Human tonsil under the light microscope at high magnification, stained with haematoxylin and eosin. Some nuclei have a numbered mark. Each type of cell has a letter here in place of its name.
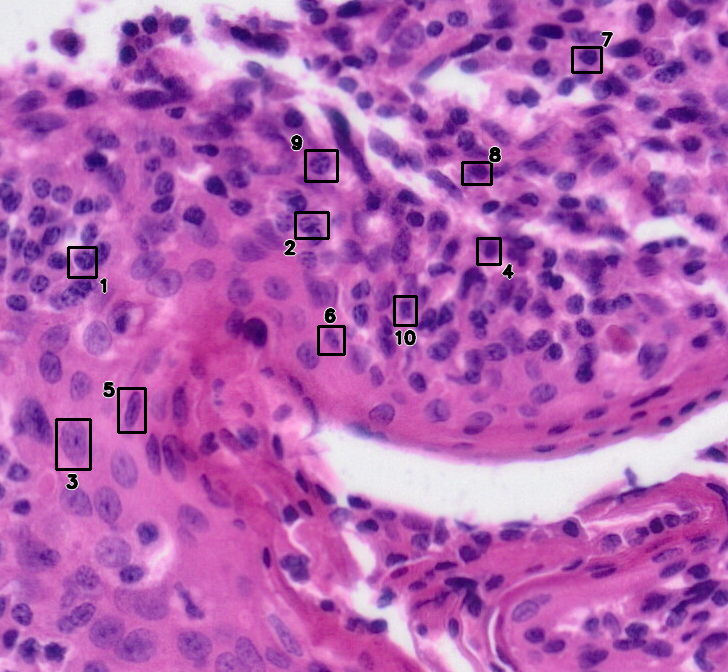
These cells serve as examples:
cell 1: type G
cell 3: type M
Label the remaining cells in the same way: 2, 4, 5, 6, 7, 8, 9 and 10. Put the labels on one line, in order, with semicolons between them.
type G; type M; type M; type M; type G; type M; type G; type M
